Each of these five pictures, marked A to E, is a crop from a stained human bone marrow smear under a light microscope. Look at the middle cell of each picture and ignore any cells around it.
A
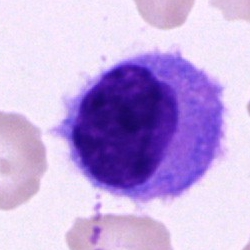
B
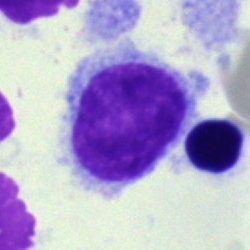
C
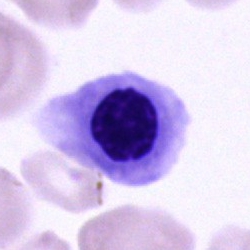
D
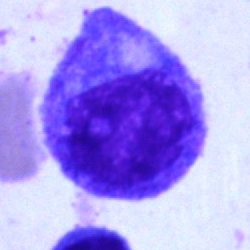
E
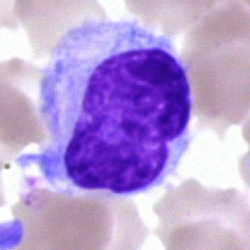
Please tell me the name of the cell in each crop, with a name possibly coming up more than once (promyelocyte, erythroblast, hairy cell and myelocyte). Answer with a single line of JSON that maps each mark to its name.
{"A": "hairy cell", "B": "hairy cell", "C": "erythroblast", "D": "promyelocyte", "E": "hairy cell"}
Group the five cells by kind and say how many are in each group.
hairy cell: 3
erythroblast: 1
promyelocyte: 1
